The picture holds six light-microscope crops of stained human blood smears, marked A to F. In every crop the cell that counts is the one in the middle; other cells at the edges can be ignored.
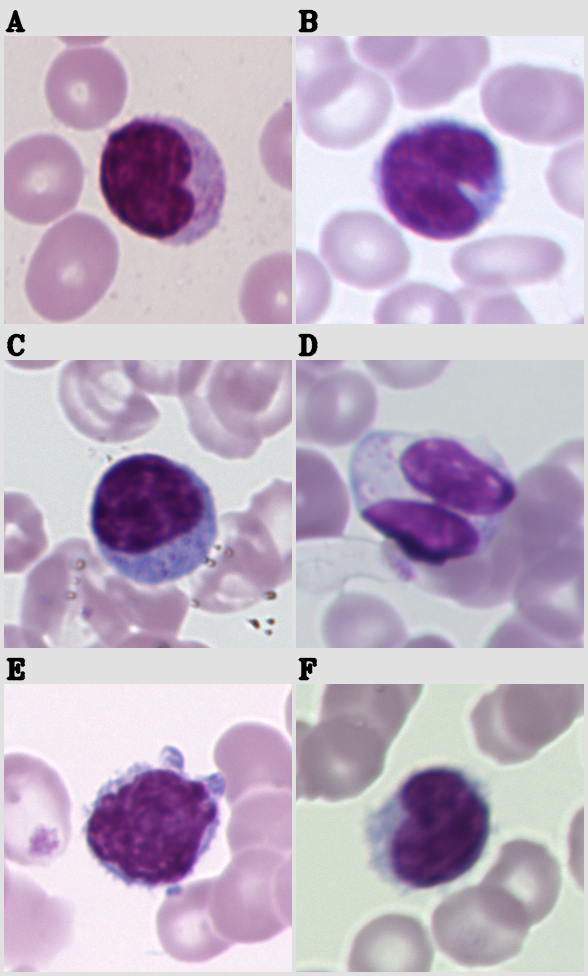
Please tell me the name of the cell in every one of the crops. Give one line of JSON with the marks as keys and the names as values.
{"A": "large granular lymphocyte", "B": "typical lymphocyte", "C": "typical lymphocyte", "D": "large granular lymphocyte", "E": "typical lymphocyte", "F": "hairy cell"}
